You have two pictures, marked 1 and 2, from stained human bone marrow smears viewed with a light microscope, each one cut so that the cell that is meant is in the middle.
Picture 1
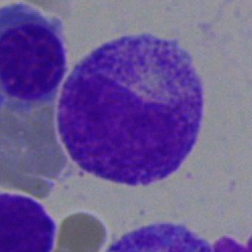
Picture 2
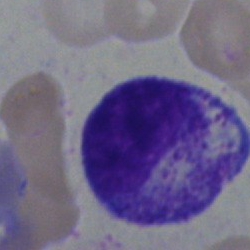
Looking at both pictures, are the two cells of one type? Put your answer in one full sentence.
Yes, both are myelocytes.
